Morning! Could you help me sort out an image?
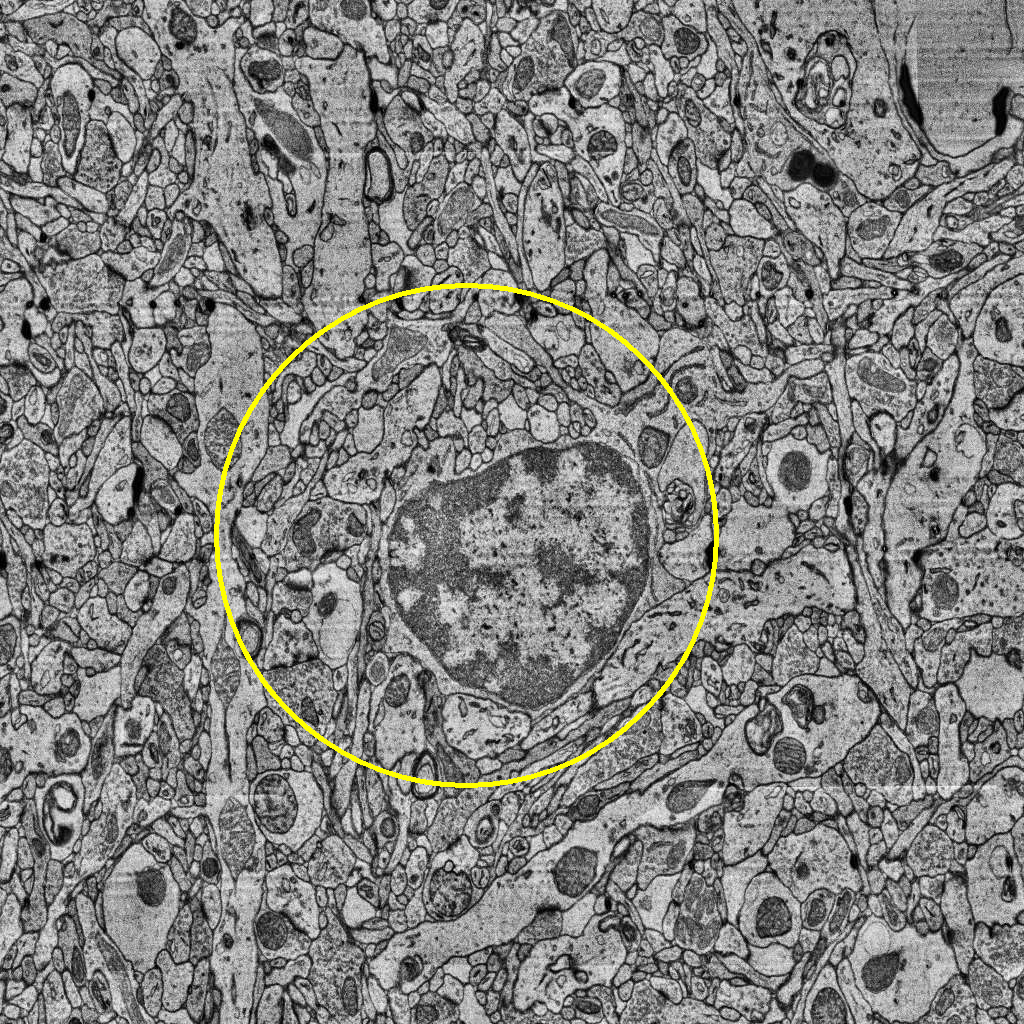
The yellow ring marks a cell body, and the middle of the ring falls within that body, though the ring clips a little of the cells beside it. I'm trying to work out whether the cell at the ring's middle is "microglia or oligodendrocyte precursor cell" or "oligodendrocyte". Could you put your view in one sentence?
The cell body at the ring's middle is that of a microglial cell or oligodendrocyte precursor cell.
